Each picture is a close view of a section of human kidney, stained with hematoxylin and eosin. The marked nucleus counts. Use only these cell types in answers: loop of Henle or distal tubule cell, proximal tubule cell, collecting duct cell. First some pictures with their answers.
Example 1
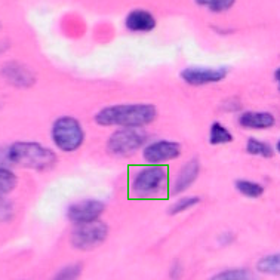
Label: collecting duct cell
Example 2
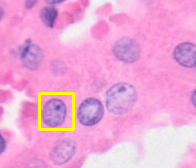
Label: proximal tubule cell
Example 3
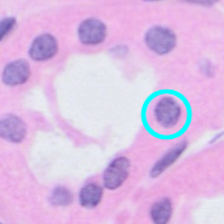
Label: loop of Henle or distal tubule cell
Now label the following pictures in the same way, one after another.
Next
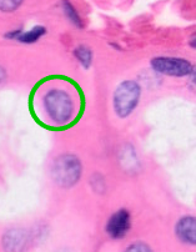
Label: loop of Henle or distal tubule cell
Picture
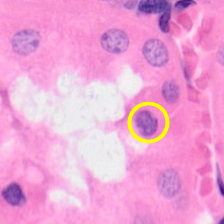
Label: proximal tubule cell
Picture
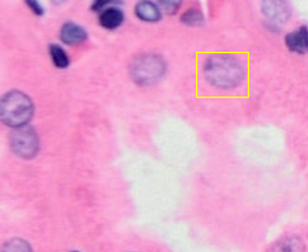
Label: proximal tubule cell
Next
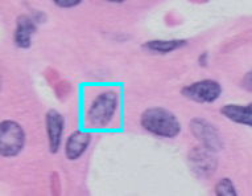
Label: collecting duct cell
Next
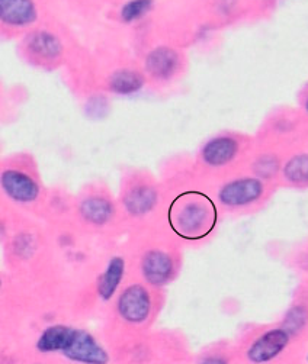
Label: loop of Henle or distal tubule cell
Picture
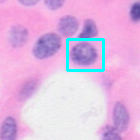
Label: collecting duct cell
